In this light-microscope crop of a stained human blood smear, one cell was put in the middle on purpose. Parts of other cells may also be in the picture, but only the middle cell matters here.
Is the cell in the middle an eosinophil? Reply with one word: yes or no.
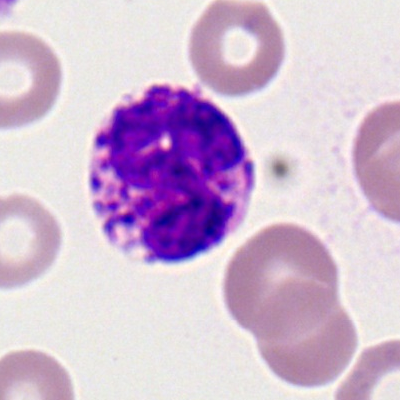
no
